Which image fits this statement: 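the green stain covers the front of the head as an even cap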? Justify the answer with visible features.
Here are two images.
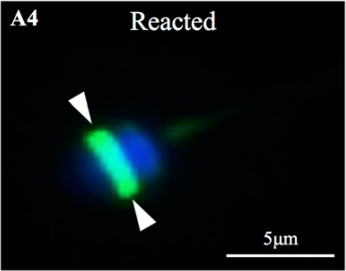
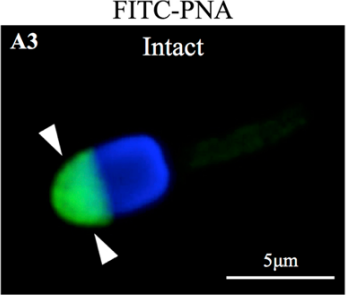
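The second image. First image: the green stain is a narrow band across the head, the front part is blue only. Second image: the green stain evenly covers the front portion of the head.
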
